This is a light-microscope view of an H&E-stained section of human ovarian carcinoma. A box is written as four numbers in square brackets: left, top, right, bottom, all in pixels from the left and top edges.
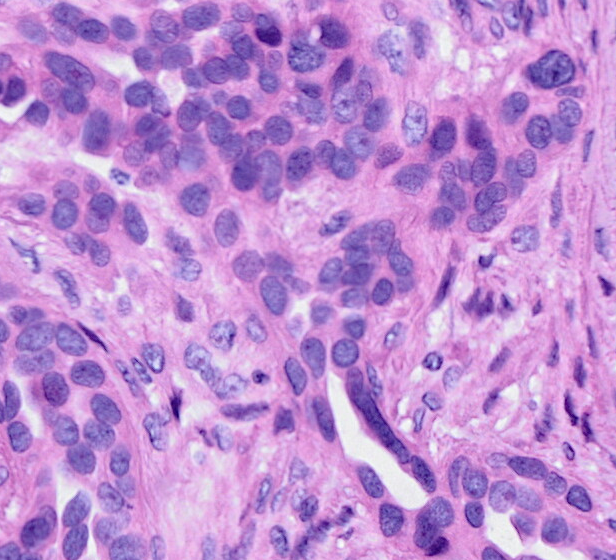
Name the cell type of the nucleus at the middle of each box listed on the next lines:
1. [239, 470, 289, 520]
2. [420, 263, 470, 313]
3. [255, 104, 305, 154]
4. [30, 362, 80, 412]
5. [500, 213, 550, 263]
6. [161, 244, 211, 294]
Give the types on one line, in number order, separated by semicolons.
fibroblast; fibroblast; carcinoma cell; carcinoma cell; fibroblast; fibroblast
